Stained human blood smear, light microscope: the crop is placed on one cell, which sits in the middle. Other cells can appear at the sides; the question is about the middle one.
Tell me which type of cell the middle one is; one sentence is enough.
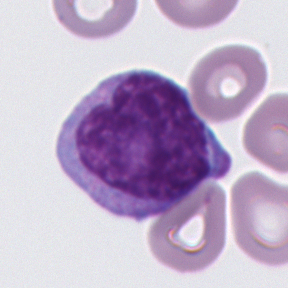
By classification, the middle cell of this crop is an atypical promyelocyte.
